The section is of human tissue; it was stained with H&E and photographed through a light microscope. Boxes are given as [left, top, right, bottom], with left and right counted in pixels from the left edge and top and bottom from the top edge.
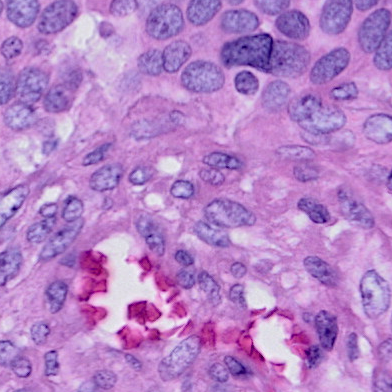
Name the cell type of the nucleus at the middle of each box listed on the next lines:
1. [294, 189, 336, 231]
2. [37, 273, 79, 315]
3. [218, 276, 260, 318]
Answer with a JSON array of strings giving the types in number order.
["macrophage or monocyte", "endothelial cell", "endothelial cell"]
